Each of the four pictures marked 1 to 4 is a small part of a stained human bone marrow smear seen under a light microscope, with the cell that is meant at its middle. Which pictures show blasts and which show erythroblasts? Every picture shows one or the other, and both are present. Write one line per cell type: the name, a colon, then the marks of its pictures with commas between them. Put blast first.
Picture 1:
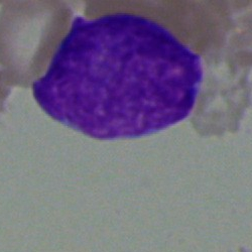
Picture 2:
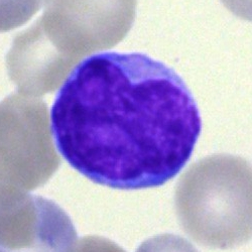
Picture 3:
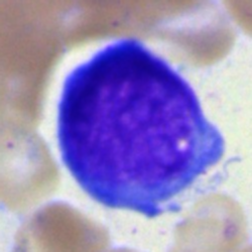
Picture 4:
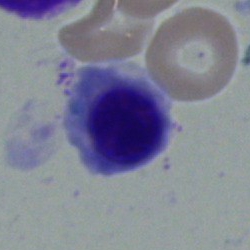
blast: 1, 2, 3
erythroblast: 4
